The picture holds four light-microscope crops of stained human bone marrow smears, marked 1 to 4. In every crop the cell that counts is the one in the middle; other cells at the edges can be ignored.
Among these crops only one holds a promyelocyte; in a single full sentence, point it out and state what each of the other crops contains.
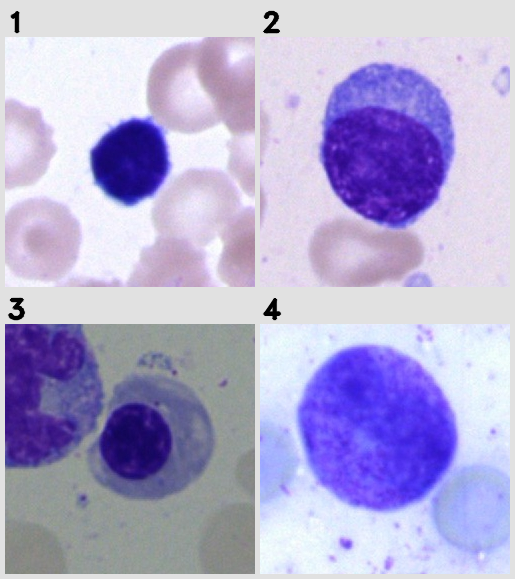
The cell of interest in crop 4 is a promyelocyte, while crop 1 is a lymphocyte, crop 2 is a plasma cell and crop 3 is a normoblast.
